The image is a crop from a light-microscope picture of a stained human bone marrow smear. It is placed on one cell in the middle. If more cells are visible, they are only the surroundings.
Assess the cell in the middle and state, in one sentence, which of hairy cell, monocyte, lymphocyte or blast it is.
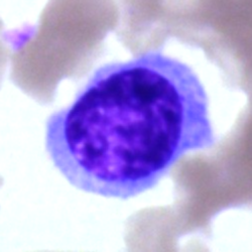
The cell found in the middle of this crop is a hairy cell.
